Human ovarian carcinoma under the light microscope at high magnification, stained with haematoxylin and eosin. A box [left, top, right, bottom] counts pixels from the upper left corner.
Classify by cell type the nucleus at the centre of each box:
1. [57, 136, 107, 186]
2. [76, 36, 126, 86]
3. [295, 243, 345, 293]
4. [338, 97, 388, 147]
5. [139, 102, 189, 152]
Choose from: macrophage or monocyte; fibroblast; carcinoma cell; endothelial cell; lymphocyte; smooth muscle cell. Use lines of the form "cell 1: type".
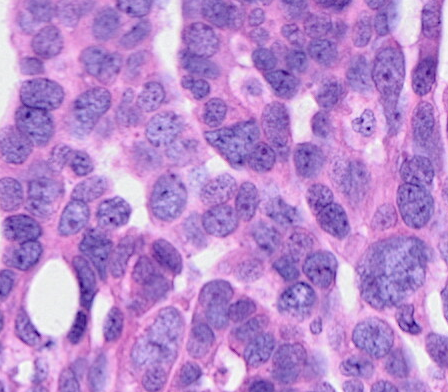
cell 1: macrophage or monocyte
cell 2: carcinoma cell
cell 3: carcinoma cell
cell 4: macrophage or monocyte
cell 5: carcinoma cell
